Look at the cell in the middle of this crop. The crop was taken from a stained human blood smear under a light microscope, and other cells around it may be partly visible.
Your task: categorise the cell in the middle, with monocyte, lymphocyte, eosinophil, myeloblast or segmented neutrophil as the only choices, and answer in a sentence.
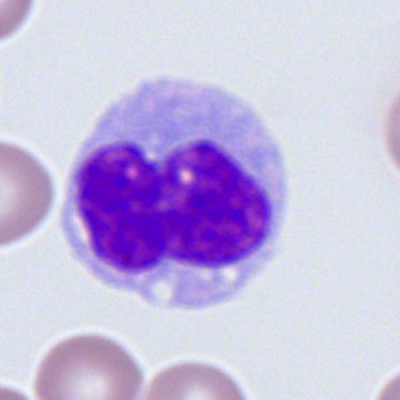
This crop is built around a monocyte at its centre.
